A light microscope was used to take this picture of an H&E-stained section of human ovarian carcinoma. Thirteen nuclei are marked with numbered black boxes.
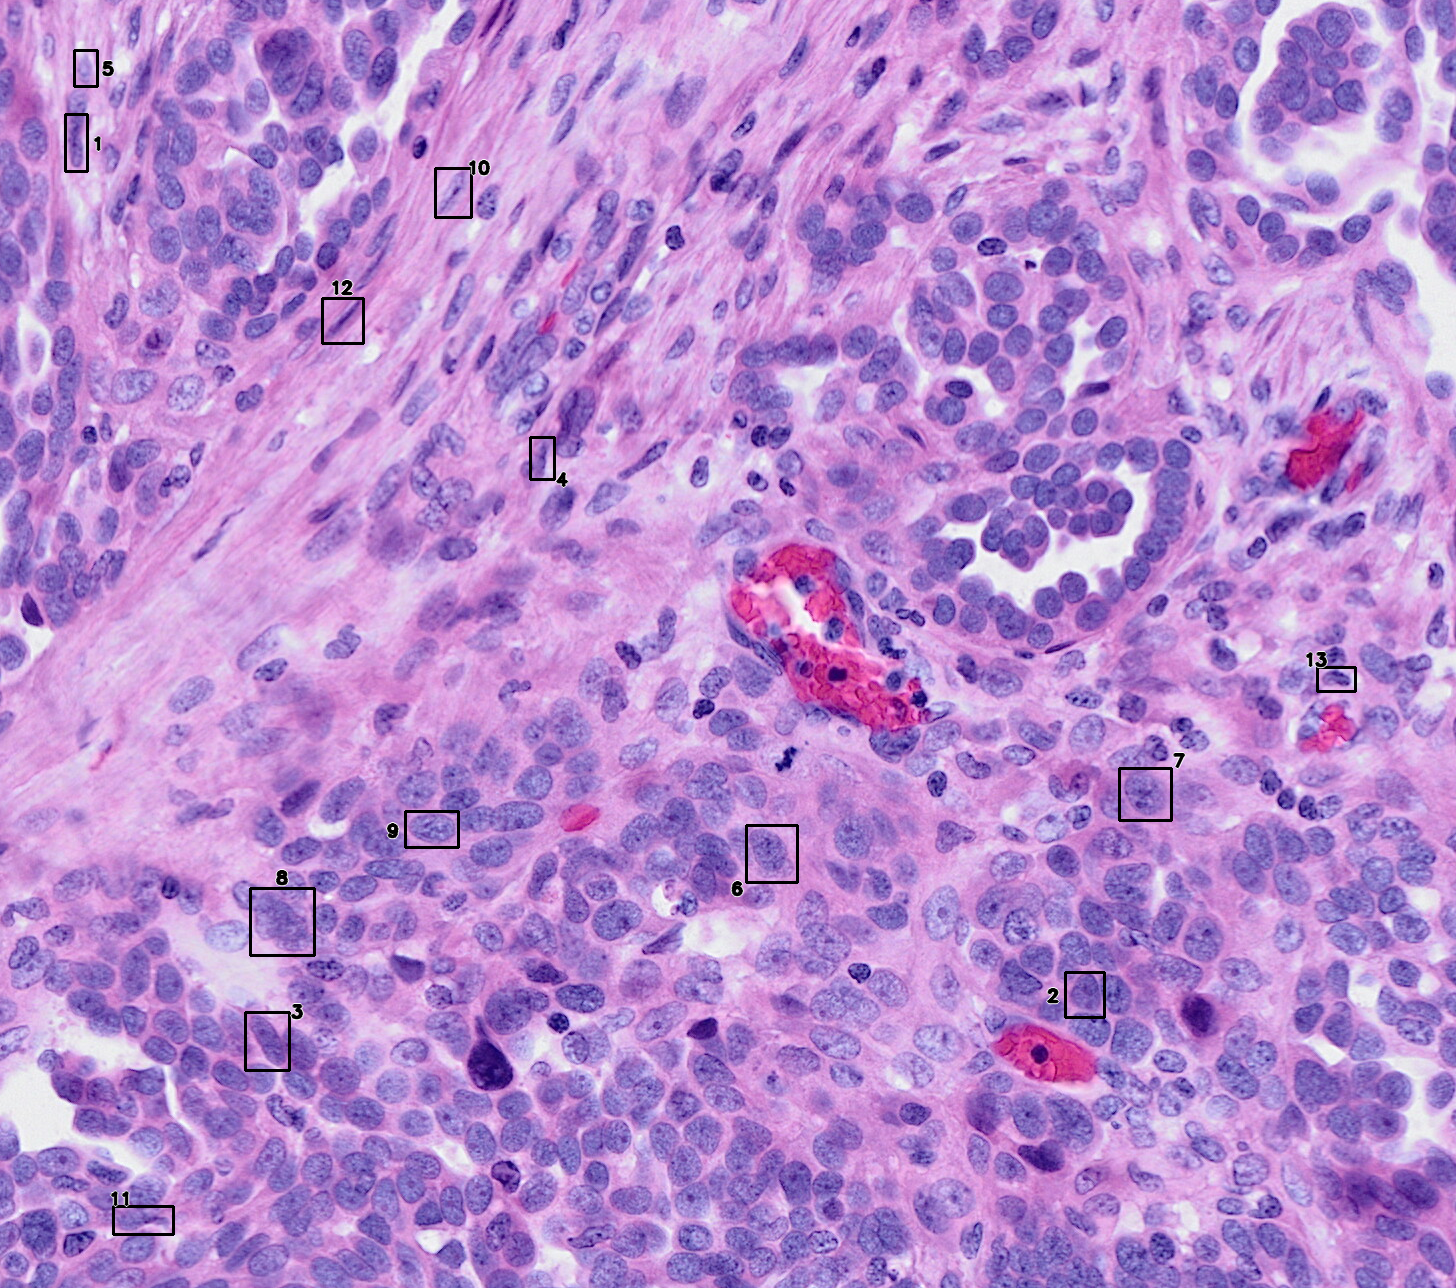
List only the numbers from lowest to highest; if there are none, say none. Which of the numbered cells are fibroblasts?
1, 4, 5, 10, 12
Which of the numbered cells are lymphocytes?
13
